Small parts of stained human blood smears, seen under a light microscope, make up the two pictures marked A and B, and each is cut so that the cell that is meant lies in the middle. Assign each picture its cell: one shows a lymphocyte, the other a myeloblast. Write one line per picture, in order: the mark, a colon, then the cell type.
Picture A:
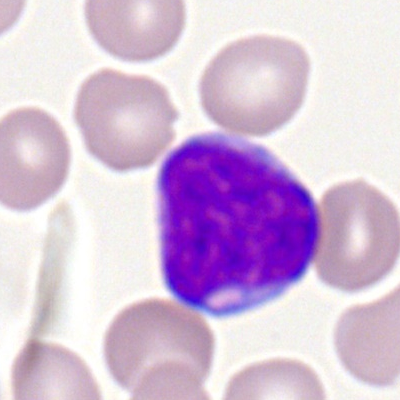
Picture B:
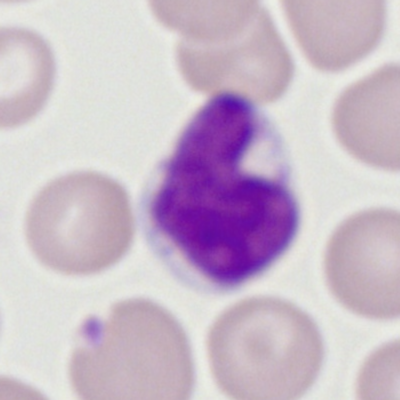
A: myeloblast
B: lymphocyte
